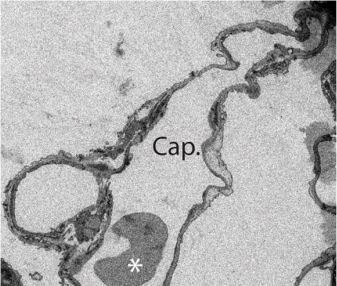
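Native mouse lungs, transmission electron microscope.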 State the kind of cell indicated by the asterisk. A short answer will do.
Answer: Red blood cell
